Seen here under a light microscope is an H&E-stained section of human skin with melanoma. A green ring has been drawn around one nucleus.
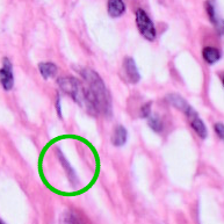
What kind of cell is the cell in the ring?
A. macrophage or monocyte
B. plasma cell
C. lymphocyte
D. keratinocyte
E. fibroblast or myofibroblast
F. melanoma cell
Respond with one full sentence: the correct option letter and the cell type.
Identified correctly by option E, the cell in the ring is a fibroblast or myofibroblast.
